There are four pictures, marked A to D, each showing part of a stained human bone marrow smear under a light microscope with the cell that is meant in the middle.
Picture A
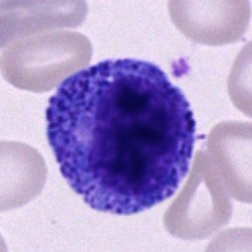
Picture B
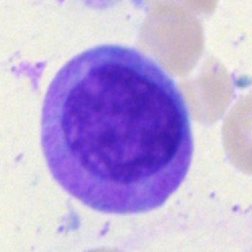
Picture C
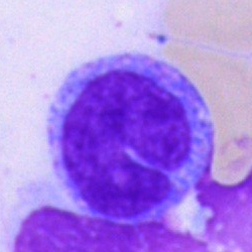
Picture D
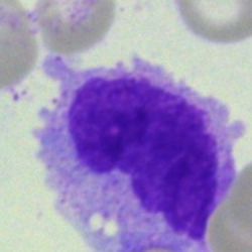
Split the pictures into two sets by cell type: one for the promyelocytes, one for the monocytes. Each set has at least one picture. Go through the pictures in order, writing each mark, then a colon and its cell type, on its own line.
A: promyelocyte
B: promyelocyte
C: monocyte
D: monocyte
